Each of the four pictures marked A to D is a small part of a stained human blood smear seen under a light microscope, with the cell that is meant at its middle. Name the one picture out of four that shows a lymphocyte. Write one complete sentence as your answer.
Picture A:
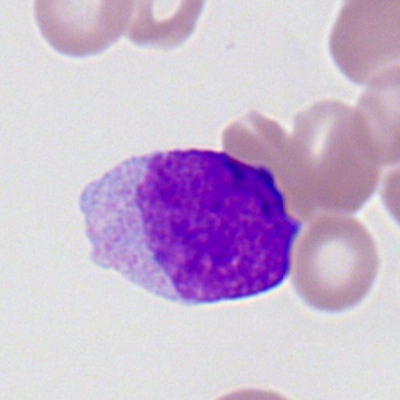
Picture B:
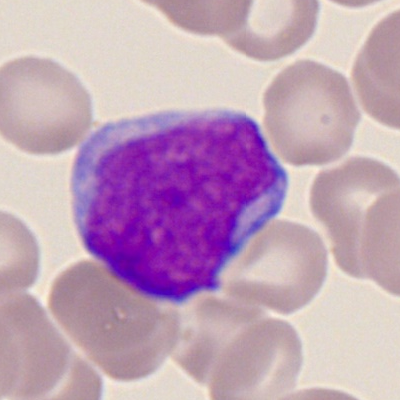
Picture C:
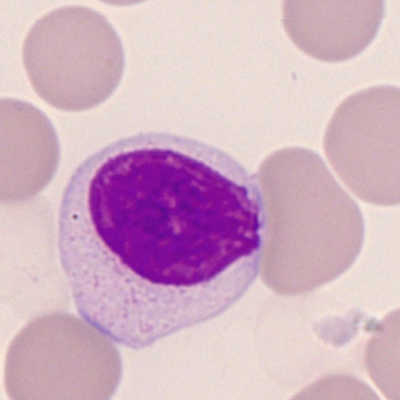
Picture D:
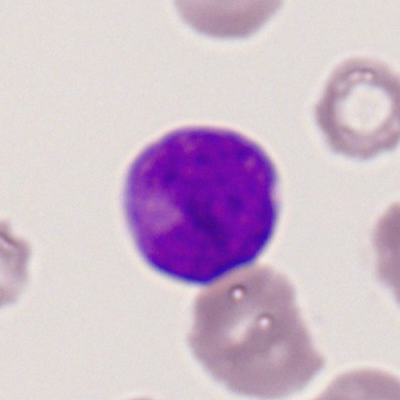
Picture C is the one that shows the lymphocyte.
